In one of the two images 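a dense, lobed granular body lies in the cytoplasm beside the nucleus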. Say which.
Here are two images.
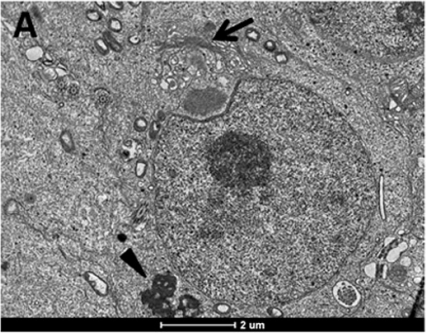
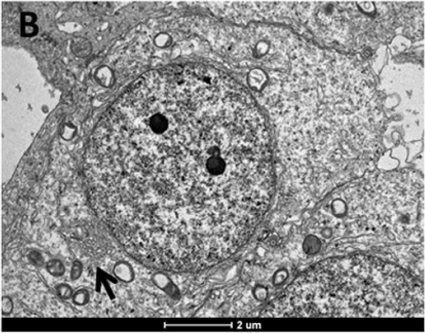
The first image.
